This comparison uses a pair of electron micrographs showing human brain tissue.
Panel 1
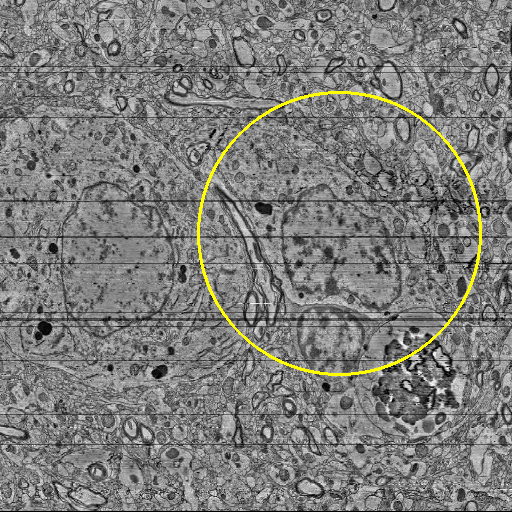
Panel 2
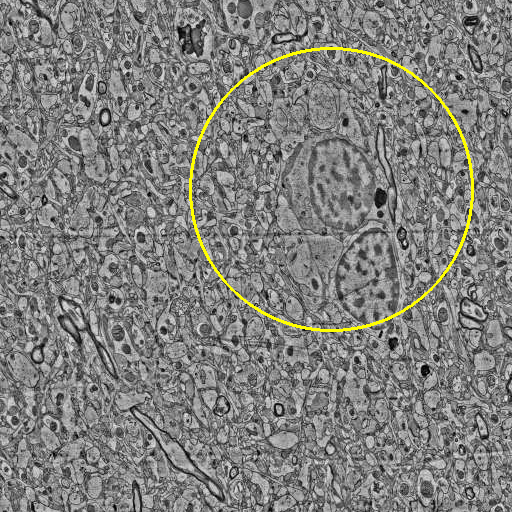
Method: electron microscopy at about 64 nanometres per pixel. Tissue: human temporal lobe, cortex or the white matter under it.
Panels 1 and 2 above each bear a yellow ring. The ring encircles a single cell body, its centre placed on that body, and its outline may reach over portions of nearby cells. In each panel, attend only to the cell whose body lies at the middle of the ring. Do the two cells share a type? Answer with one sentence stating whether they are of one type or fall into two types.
In Panel 1 and Panel 2, the cells at the centres of the rings fall into two types.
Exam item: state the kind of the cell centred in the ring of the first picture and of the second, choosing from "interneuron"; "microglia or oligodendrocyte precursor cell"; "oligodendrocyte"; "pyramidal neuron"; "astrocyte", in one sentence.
The first picture shows an interneuron at the ring centre and the second shows an oligodendrocyte.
